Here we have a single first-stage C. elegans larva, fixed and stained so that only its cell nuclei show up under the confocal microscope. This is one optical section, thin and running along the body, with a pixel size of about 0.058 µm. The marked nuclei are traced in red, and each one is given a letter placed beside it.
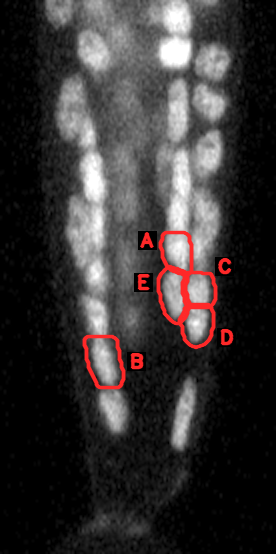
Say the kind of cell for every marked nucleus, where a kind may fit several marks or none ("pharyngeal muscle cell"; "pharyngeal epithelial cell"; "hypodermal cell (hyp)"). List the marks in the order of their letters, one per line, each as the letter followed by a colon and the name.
A: pharyngeal muscle cell
B: hypodermal cell (hyp)
C: hypodermal cell (hyp)
D: hypodermal cell (hyp)
E: pharyngeal epithelial cell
